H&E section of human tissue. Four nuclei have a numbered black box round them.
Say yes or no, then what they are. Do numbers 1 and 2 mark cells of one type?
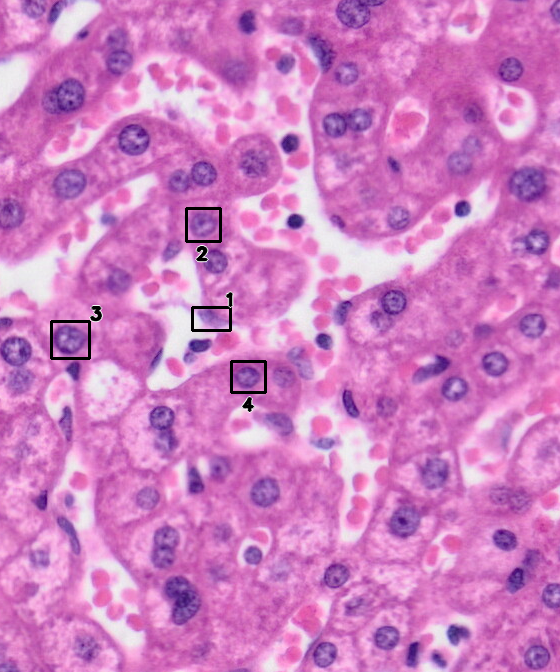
No, cell 1 is a Kupffer cell and cell 2 is a hepatocyte.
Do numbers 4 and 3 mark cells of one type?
Yes, both are hepatocytes.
